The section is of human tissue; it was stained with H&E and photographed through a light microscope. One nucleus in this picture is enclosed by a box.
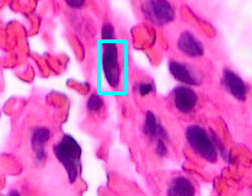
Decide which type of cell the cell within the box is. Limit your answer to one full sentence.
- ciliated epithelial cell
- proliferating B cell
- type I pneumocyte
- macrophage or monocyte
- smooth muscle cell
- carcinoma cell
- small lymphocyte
Recorded by type, the cell within the box is a type I pneumocyte.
